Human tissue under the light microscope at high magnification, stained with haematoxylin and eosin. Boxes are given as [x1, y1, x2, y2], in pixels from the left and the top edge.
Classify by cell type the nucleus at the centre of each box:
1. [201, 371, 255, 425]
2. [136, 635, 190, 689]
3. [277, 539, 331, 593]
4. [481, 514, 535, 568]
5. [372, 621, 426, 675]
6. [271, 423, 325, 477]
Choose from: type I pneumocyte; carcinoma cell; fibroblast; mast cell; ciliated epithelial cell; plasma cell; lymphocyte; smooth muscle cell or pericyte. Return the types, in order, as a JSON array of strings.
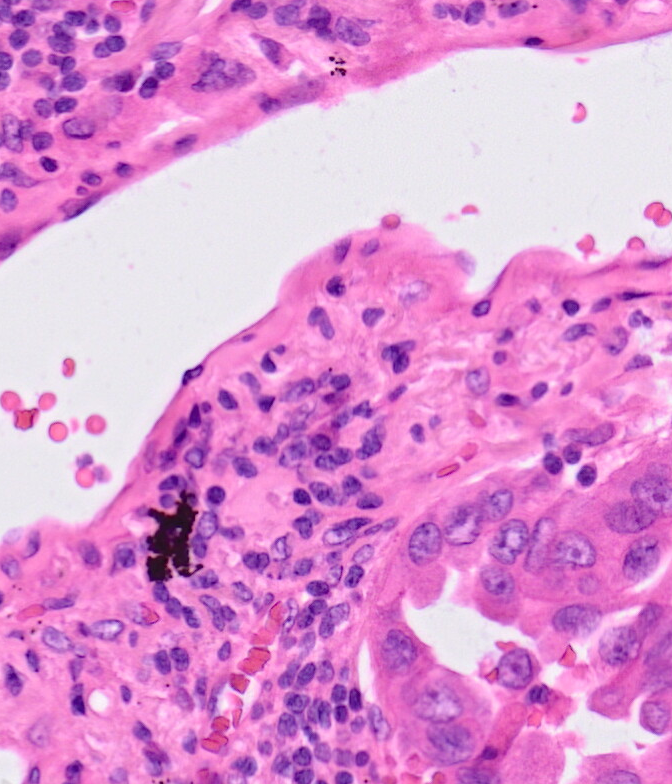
["lymphocyte", "lymphocyte", "lymphocyte", "carcinoma cell", "carcinoma cell", "lymphocyte"]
